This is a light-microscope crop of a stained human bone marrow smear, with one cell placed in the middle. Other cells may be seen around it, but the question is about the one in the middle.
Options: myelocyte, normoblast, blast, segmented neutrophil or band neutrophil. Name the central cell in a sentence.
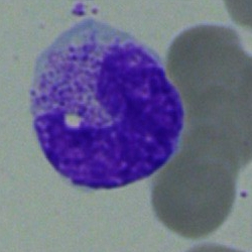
In this smear crop, the middle cell is a band neutrophil.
